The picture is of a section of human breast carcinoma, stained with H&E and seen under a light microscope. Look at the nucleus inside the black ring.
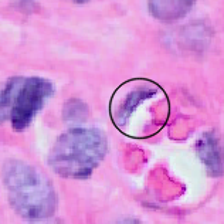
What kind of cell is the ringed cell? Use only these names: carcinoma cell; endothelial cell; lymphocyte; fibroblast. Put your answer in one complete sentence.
The ringed cell is an endothelial cell.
